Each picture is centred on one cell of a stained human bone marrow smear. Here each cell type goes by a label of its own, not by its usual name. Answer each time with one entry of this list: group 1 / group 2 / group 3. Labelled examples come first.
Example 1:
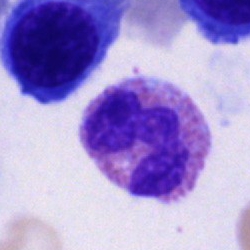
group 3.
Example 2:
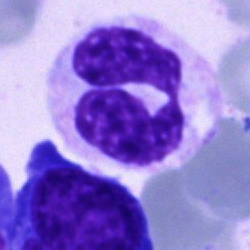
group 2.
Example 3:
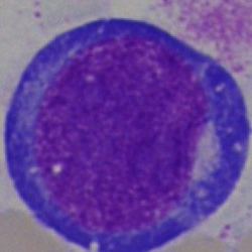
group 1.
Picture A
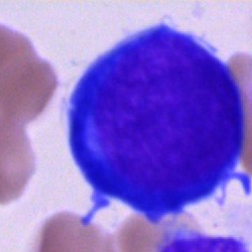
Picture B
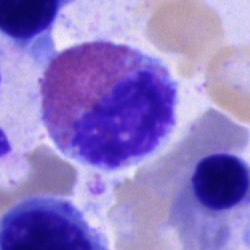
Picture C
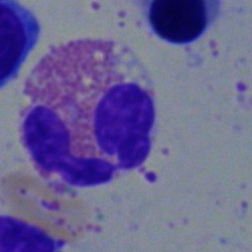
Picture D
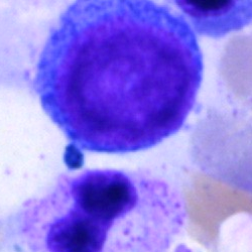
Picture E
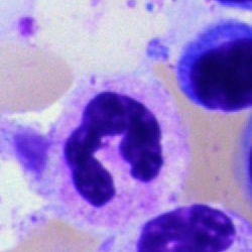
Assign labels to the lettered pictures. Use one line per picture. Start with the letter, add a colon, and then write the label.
A: group 1.
B: group 3.
C: group 3.
D: group 1.
E: group 2.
